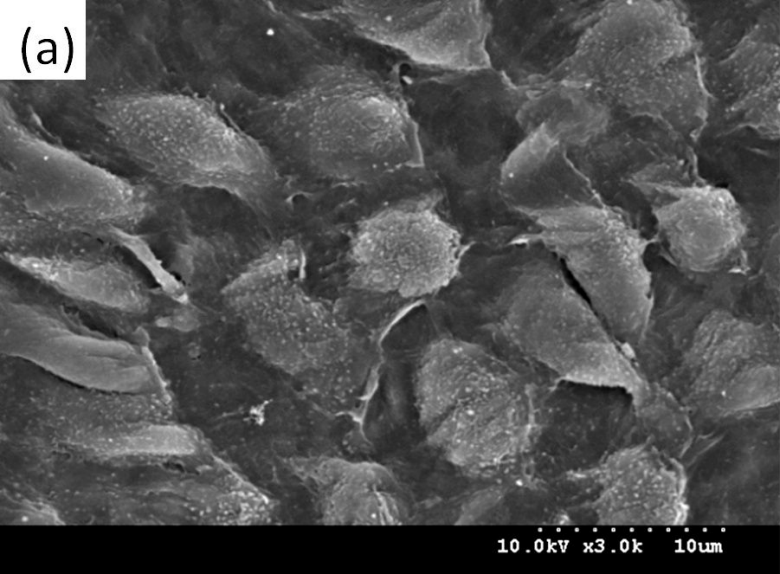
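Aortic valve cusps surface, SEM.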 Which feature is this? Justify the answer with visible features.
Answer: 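The raised units are separated by darker, lower borders. The surface of each raised unit carries fine bright granules. That points to this answer: cobblestone structure.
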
